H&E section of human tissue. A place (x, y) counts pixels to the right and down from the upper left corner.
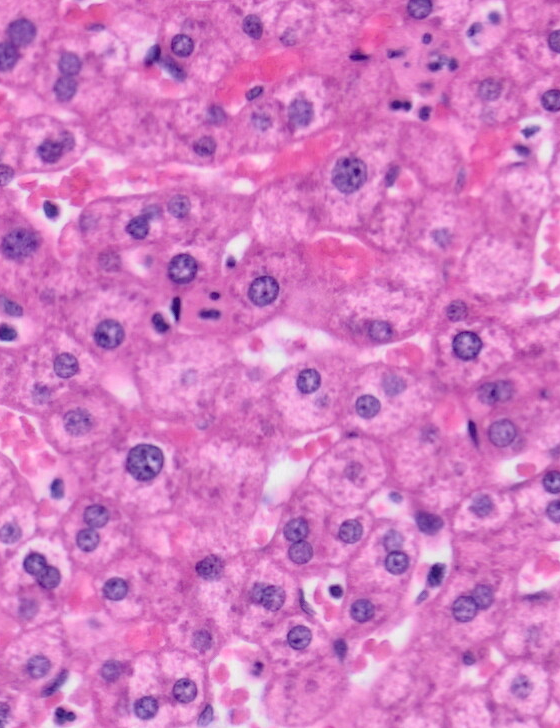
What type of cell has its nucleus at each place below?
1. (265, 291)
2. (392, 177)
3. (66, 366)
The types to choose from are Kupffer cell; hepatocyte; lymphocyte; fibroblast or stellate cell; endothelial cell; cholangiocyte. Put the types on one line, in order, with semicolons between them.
hepatocyte; endothelial cell; hepatocyte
